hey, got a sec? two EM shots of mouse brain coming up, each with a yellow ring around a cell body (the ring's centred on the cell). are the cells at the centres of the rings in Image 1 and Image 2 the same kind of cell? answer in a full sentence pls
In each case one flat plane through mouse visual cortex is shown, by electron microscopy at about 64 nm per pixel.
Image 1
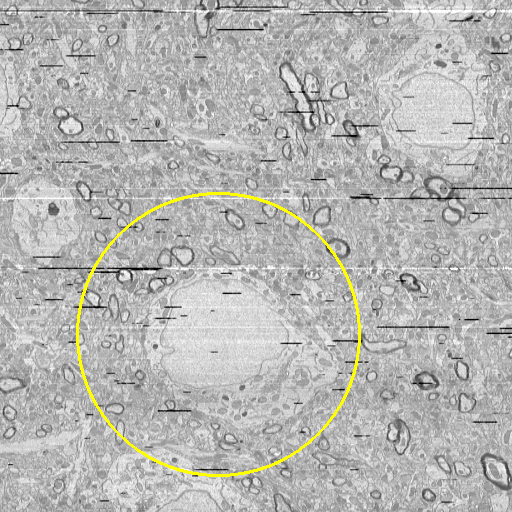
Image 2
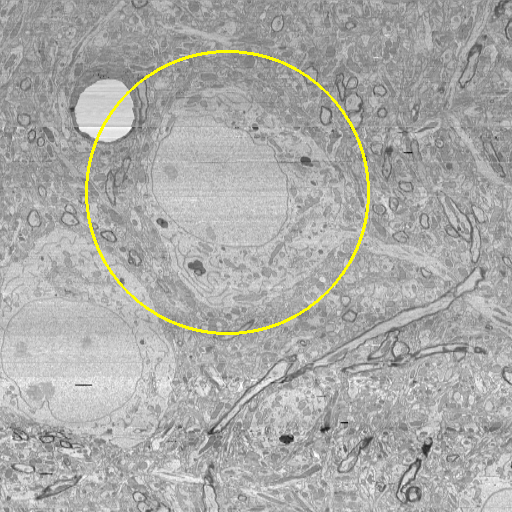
Yes, both are the same kind of cell.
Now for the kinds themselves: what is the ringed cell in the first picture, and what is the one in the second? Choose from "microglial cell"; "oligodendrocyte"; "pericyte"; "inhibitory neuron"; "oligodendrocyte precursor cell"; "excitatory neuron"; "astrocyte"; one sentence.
The second cell is an excitatory neuron, just as the first is.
